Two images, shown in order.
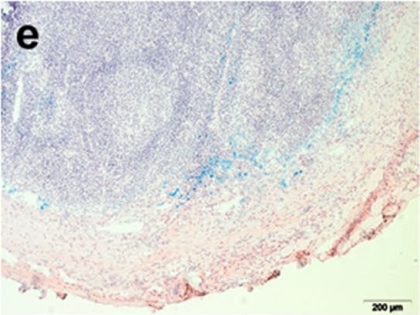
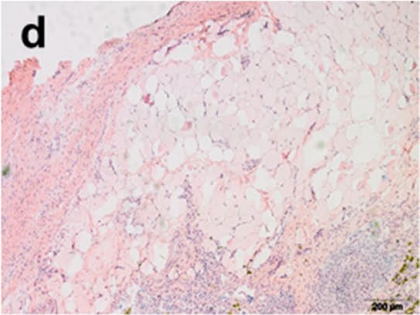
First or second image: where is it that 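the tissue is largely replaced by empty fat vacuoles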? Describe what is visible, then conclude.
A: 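First image: dense purple lymphoid tissue with a rounded nodule and no large vacuoles. Second image: many large empty round vacuoles fill most of the section. The answer: the second image.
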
